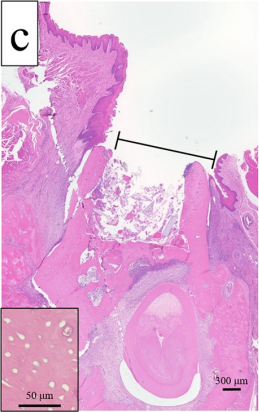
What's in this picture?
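The surface epithelium at the top is interrupted over the socket, leaving an open gap bounded by two pink bony edges and containing loose fragmented debris. Below, pink bone fills most of the field, with a rounded developing tooth structure at the bottom. The inset shows bone matrix at high power in which the lacunae appear as clear spaces lacking nuclei, empty osteocyte lacunae.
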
